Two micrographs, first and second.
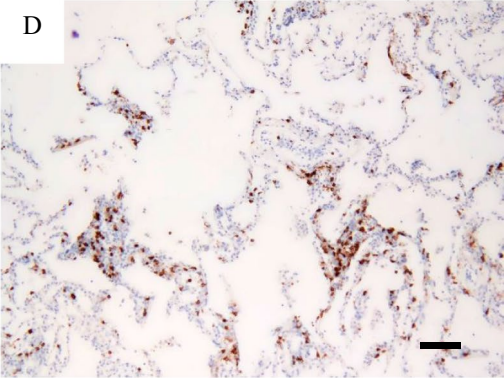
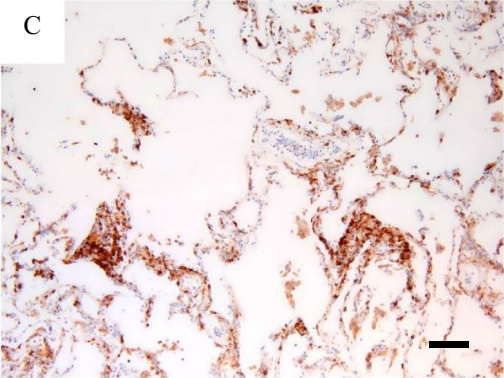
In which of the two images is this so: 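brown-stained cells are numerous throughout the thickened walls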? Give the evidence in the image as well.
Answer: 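First image: brown-stained cells are scattered and fewer, most cells blue. Second image: large clusters and long stretches of the walls are stained brown. The answer: the second image.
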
